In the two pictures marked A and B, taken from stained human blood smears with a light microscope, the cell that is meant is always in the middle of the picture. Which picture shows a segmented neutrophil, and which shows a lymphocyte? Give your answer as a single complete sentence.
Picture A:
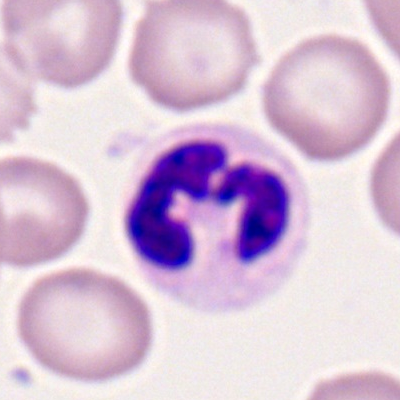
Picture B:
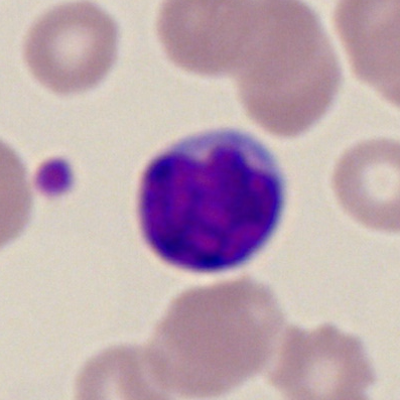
The cell in picture A is a segmented neutrophil, and the one in picture B is a lymphocyte.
